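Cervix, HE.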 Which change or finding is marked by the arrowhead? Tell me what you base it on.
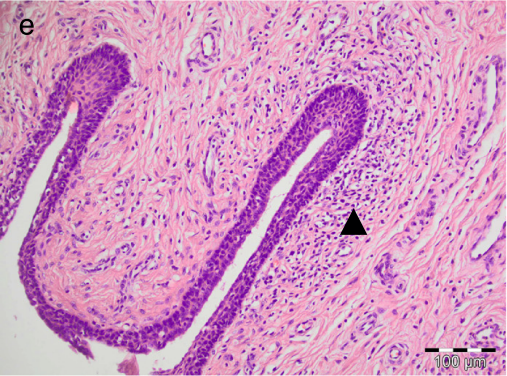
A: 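The arrowhead lies beside a crowded band of small round dark nuclei. The crowded cells sit directly beneath the folded epithelium.
Conclusion: a dense subepithelial infiltrate of mononuclear cells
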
